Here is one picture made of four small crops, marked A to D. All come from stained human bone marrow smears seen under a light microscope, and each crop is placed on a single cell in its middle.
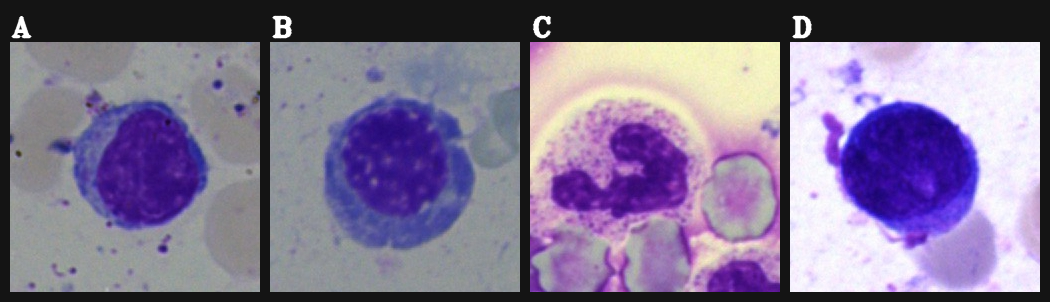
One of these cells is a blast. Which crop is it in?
D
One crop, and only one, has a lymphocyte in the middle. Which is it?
A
